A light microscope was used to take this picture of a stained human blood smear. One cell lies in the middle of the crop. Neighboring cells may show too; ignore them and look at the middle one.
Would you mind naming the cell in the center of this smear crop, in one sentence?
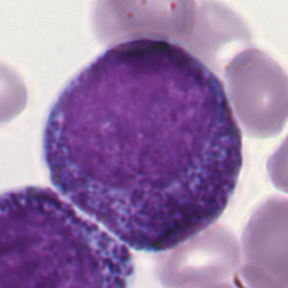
The cell featured at the centre of this crop is a promyelocyte.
